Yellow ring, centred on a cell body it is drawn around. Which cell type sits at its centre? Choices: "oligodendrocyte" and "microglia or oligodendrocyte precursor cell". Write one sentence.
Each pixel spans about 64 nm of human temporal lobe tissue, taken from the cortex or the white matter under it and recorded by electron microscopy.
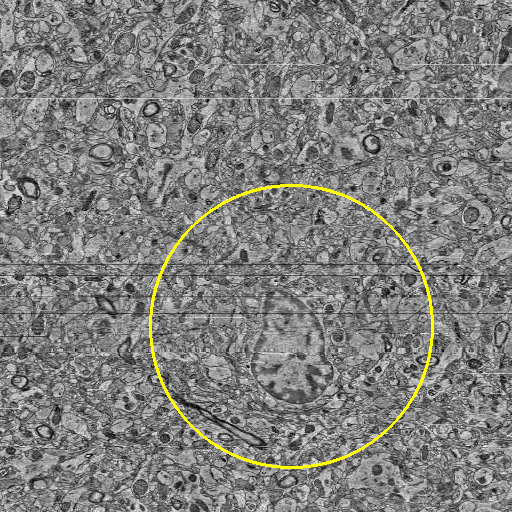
At the centre of the ring sits a microglial cell or oligodendrocyte precursor cell.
